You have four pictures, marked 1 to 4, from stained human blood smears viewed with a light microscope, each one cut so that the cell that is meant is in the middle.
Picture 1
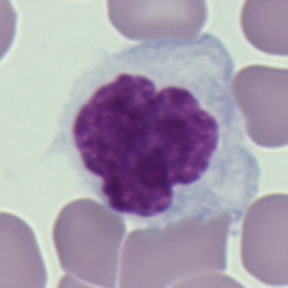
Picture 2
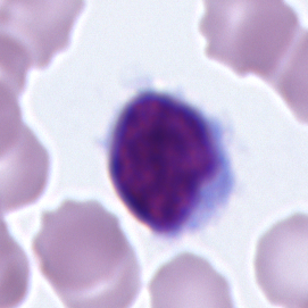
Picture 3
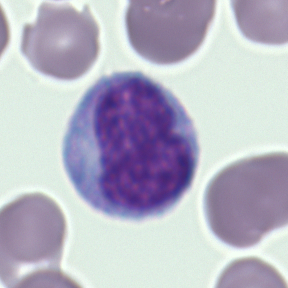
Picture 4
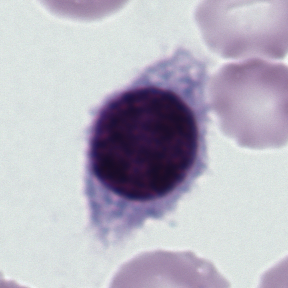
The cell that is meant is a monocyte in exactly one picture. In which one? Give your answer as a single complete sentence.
The cell in picture 3 is the monocyte.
